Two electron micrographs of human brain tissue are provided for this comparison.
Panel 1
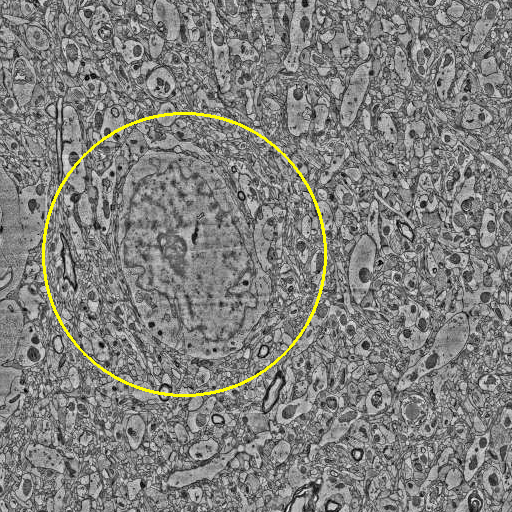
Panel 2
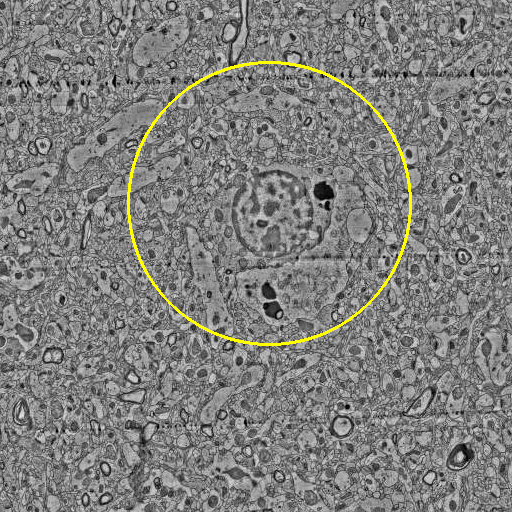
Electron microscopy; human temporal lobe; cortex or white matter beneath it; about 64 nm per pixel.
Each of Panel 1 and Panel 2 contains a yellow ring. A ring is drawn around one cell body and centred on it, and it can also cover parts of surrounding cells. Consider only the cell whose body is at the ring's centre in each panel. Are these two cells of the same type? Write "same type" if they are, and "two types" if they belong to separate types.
two types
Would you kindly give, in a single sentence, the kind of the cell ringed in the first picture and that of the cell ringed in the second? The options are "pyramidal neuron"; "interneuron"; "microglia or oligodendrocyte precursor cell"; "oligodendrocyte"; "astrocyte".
The second cell is an oligodendrocyte, and the first cell is an interneuron.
